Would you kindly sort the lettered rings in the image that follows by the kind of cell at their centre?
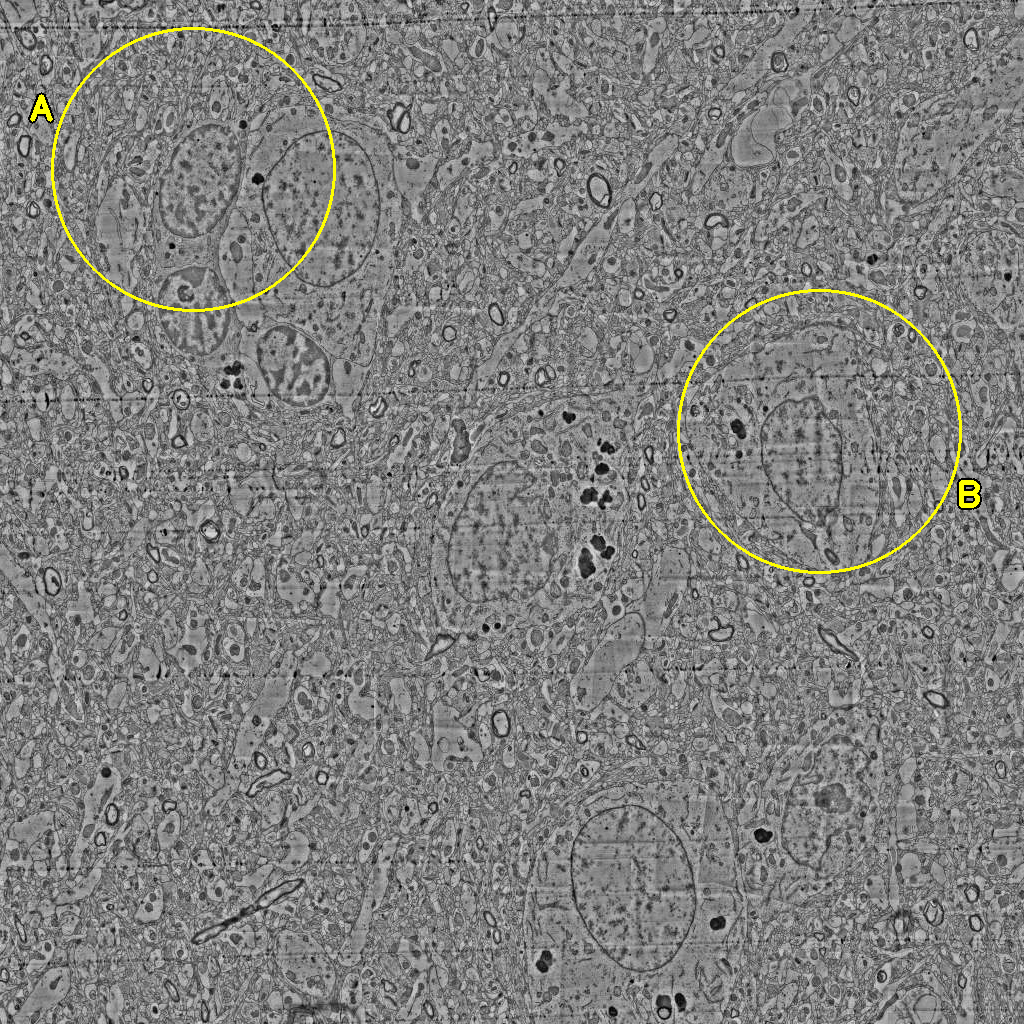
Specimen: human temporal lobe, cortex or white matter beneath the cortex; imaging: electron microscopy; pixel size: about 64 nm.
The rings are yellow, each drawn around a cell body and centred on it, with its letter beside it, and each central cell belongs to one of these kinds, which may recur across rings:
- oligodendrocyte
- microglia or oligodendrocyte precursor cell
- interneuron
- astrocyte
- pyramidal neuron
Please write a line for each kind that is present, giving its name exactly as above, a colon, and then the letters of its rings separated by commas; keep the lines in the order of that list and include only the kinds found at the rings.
oligodendrocyte: A
pyramidal neuron: B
